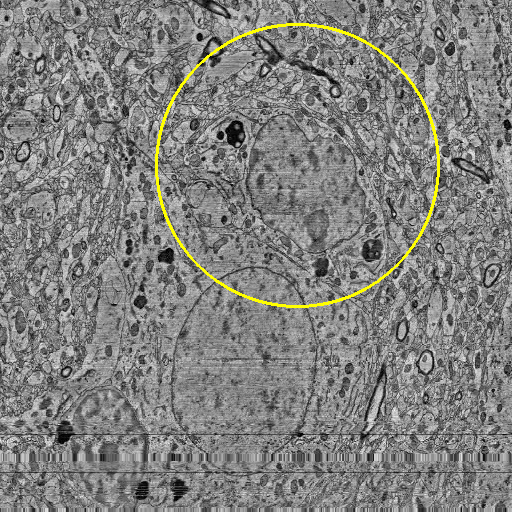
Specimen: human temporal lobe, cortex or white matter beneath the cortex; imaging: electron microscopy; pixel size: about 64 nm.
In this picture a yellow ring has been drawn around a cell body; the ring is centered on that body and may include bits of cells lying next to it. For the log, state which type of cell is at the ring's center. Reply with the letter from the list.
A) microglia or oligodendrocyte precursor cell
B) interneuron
B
